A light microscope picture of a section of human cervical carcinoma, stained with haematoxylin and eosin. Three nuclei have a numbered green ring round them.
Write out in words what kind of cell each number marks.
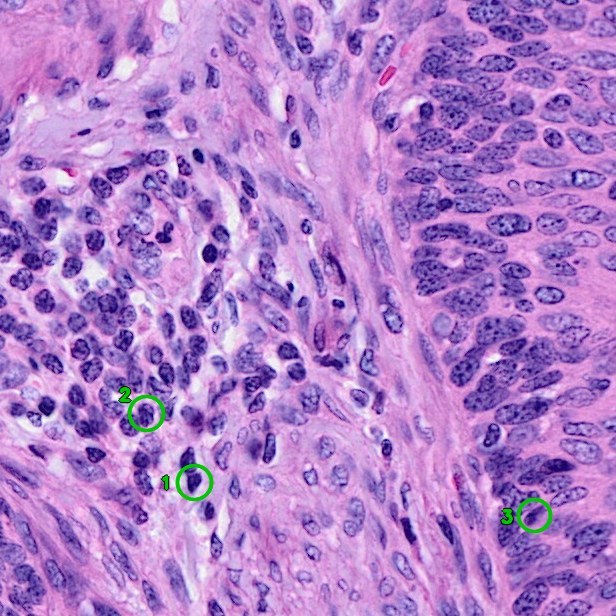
Cell 1 is a lymphocyte, cell 2 is a lymphocyte and cell 3 is a squamous carcinoma cell.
